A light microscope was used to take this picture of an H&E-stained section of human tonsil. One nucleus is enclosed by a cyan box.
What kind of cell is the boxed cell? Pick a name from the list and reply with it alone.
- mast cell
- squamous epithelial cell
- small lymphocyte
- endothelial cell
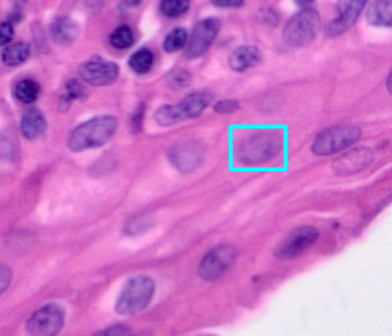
squamous epithelial cell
